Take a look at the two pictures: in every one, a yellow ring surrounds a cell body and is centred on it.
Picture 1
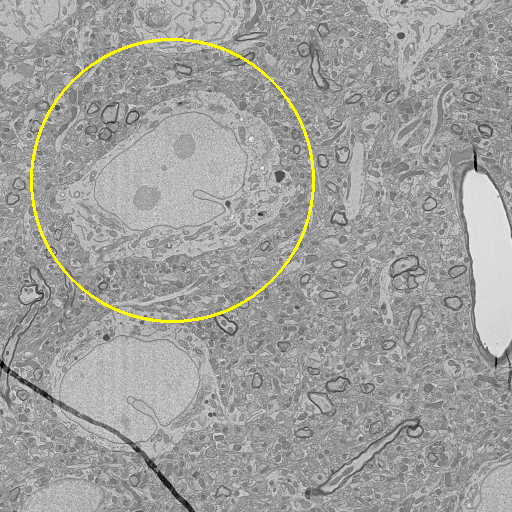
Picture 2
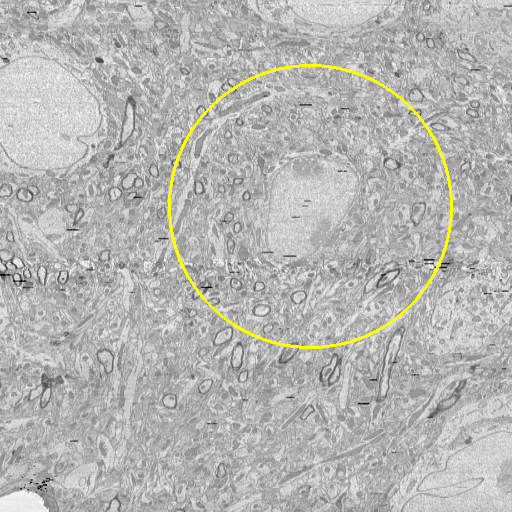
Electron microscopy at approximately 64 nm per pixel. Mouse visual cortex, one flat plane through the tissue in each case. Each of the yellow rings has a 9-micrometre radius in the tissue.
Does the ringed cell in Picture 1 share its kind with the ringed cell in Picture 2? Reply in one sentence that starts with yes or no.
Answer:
No, the two centred cells, one per picture, are of two kinds.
